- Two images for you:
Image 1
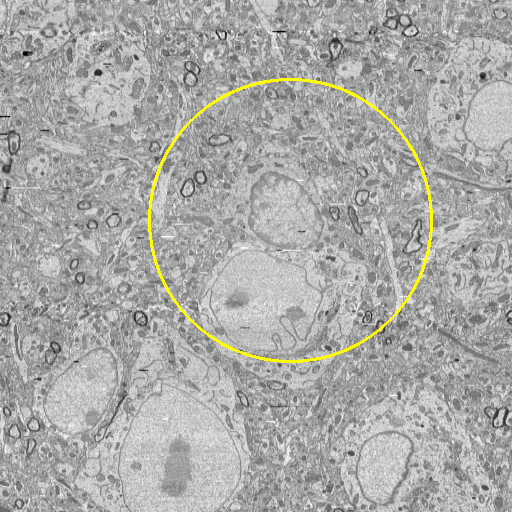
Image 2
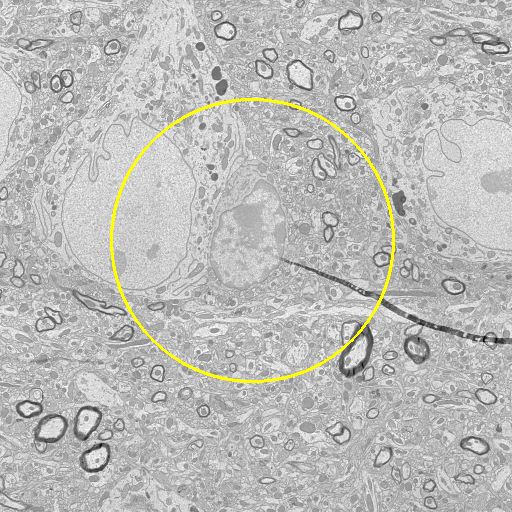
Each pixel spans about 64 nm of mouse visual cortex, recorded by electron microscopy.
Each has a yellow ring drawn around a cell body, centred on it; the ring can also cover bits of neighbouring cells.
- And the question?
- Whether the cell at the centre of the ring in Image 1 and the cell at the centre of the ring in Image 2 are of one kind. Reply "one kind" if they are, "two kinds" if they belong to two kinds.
one kind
